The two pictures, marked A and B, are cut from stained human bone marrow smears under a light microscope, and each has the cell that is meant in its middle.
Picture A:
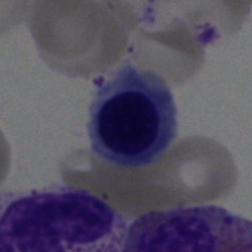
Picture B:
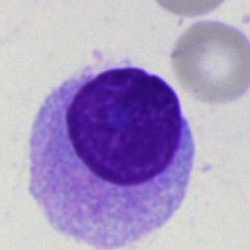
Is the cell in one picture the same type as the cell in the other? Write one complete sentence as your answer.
No; the cell in picture A is an erythroblast, while the one in picture B is a plasma cell.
